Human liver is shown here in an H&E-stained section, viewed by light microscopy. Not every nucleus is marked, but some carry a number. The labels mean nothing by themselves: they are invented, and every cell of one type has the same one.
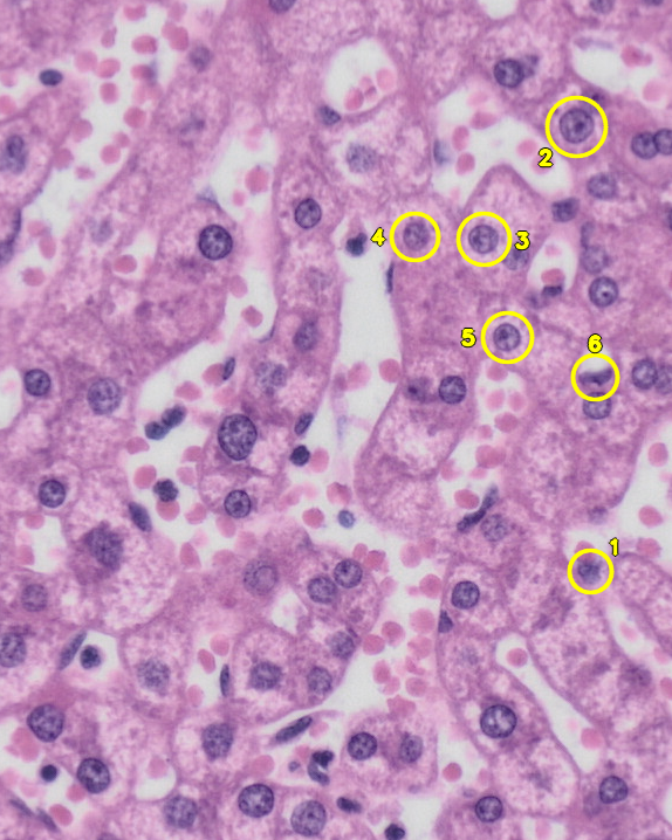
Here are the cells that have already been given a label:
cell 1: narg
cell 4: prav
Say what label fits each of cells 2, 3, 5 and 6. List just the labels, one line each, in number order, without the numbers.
prav
prav
prav
narg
